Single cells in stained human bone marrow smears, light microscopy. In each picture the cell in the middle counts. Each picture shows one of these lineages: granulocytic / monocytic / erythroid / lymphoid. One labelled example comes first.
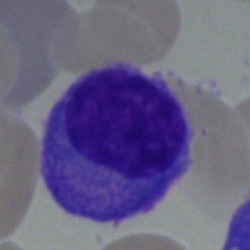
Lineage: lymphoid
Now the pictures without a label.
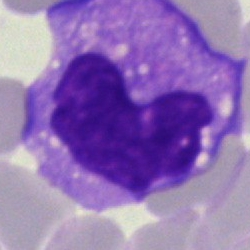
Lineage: monocytic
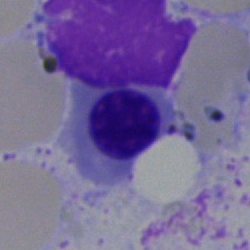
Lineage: erythroid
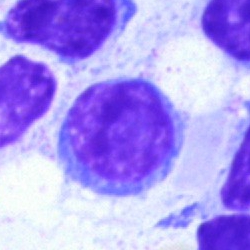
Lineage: lymphoid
